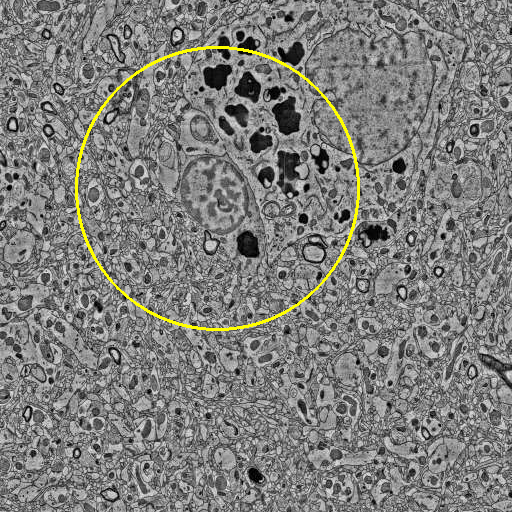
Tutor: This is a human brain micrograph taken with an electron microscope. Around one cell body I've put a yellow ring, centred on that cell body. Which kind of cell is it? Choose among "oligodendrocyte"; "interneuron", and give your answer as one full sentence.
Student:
Going by your list, the cell centred in the yellow ring is an oligodendrocyte.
